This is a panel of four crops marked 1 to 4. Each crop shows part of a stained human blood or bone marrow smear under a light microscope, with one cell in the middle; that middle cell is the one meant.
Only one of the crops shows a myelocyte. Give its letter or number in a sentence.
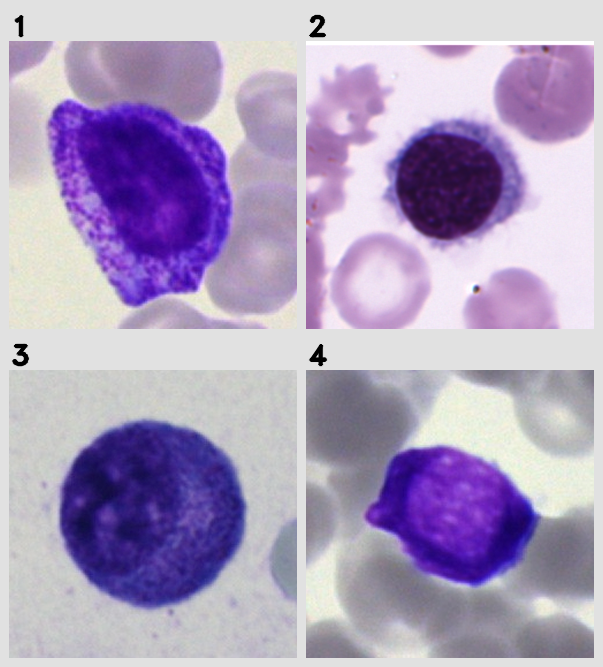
Among all the crops given here, the one with a myelocyte is crop 1.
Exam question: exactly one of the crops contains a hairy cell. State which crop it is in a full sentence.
The crop in which a hairy cell is shown is crop 2.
